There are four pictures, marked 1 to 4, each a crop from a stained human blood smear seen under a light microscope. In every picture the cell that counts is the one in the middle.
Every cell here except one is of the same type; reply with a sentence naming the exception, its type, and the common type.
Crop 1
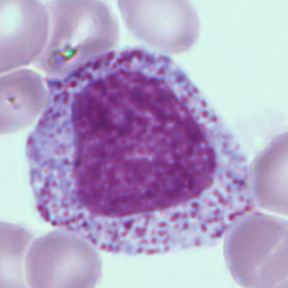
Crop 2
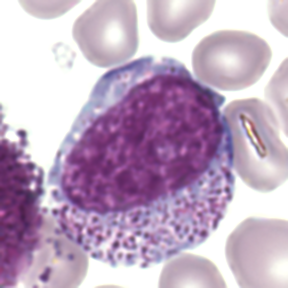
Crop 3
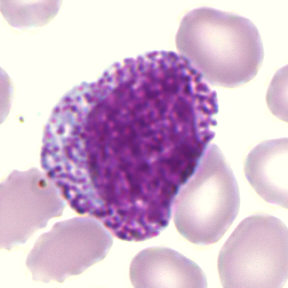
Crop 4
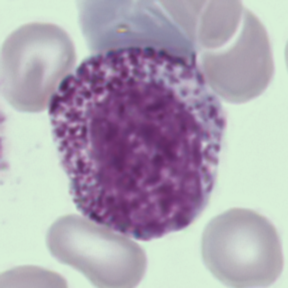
The cells centred in the other crops are all myelocytes, but crop 2 is a promyelocyte.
